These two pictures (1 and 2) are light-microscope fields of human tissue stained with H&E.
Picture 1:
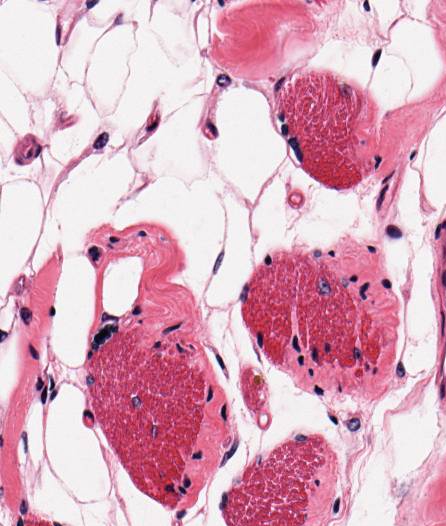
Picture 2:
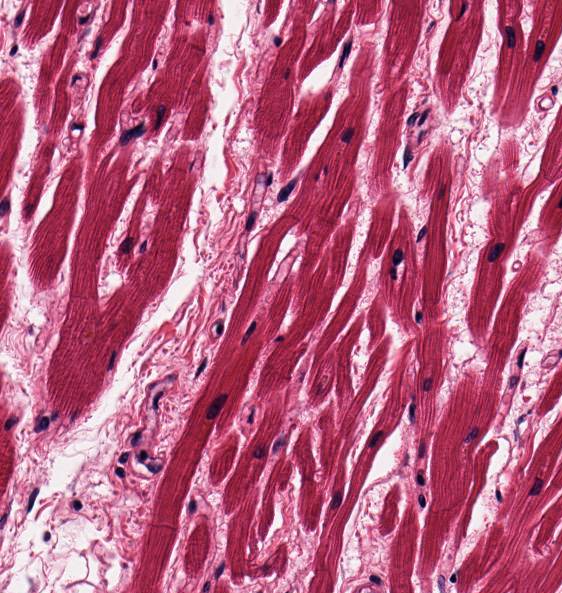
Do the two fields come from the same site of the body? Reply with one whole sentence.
No, picture 1 comes from skeletal muscle and picture 2 comes from the atrial appendage of the heart.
